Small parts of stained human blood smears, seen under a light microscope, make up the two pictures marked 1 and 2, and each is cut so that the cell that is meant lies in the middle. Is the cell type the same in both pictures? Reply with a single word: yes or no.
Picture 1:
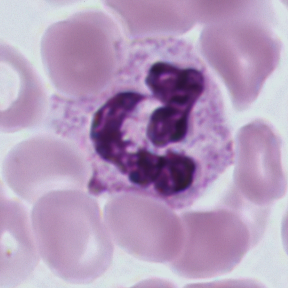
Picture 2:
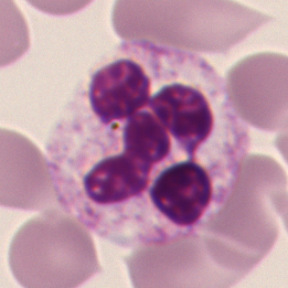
yes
